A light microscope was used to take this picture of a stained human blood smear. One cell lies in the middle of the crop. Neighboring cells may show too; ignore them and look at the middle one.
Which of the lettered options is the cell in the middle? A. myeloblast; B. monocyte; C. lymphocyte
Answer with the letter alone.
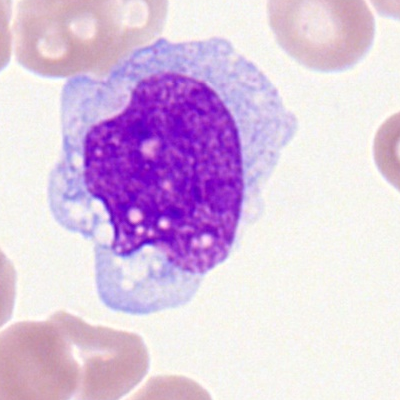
B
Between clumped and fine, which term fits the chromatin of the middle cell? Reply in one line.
The chromatin is delicate and fine, lacking coarse clumping entirely.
